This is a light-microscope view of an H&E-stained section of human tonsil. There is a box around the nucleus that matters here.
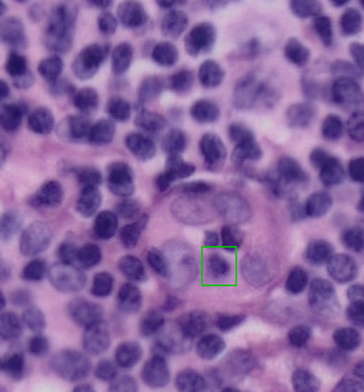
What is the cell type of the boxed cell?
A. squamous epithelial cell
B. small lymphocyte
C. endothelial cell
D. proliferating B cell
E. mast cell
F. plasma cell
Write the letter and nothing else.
C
